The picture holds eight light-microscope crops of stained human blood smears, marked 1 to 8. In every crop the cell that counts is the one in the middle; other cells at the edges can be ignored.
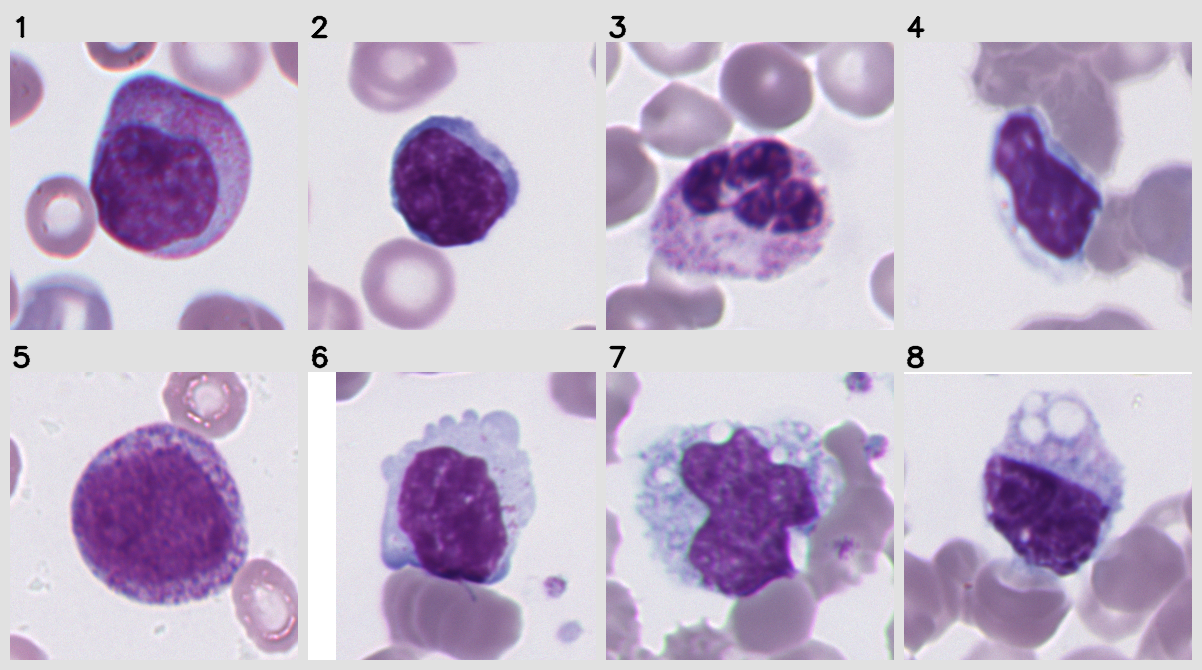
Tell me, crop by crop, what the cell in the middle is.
1: atypical promyelocyte
2: typical lymphocyte
3: segmented neutrophil
4: typical lymphocyte
5: promyelocyte
6: large granular lymphocyte
7: monocyte
8: monocyte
